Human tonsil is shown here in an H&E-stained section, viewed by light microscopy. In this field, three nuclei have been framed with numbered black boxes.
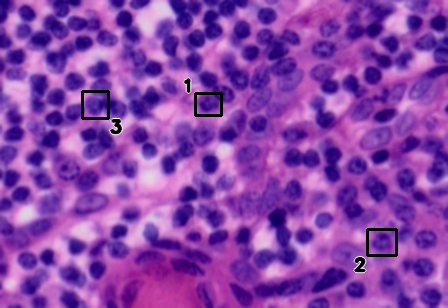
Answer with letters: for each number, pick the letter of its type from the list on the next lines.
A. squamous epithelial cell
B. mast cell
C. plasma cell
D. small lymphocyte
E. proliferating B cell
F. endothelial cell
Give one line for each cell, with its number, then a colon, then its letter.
1: C
2: C
3: D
